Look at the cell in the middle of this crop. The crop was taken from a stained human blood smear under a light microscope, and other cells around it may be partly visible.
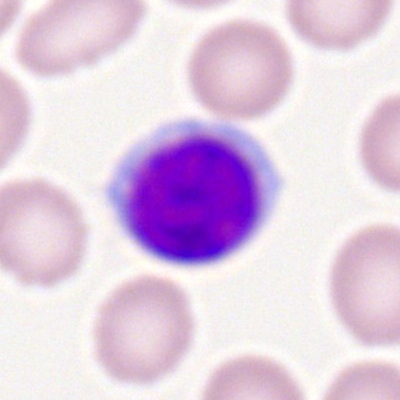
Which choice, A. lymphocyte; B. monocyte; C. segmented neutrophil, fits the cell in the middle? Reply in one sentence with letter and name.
The one cell at the centre is a lymphocyte, as correctly stated in option A.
